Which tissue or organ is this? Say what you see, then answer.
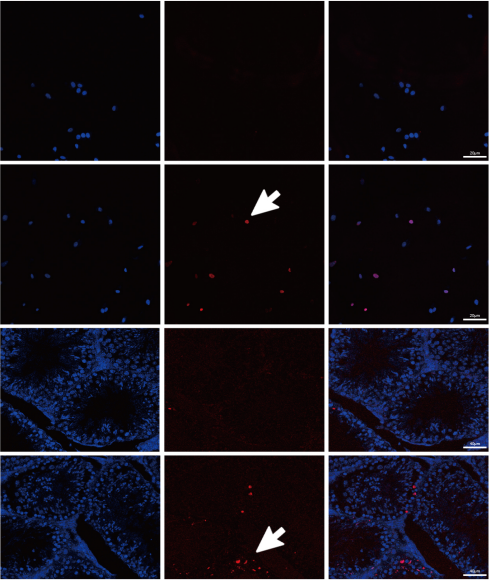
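The lower two rows show round tubules packed with many blue nuclei in layers. The tubules are separated by narrow spaces of interstitium. The answer: testicular tissue.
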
